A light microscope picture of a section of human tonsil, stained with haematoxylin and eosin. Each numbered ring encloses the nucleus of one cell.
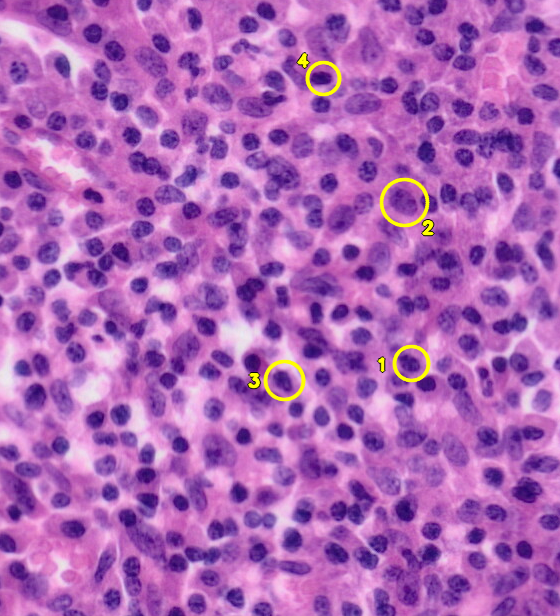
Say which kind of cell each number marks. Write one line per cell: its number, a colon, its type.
1: plasma cell
2: squamous epithelial cell
3: plasma cell
4: plasma cell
